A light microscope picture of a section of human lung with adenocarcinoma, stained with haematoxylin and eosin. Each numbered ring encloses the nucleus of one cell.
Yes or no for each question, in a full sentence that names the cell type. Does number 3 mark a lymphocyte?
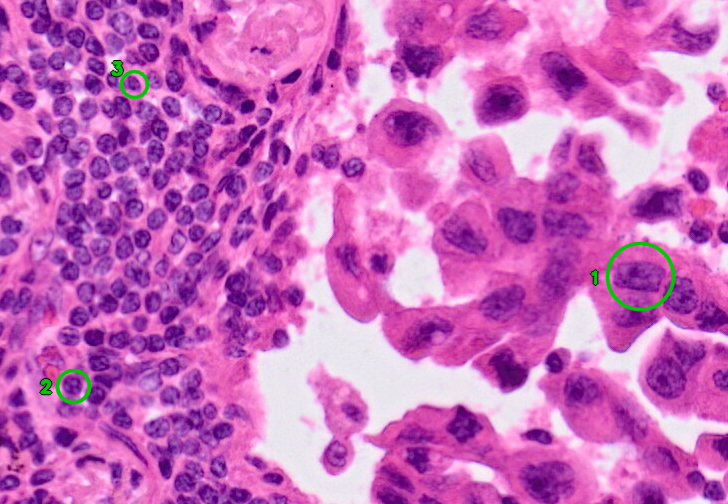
Yes, the cell tagged with the number 3 is a lymphocyte.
